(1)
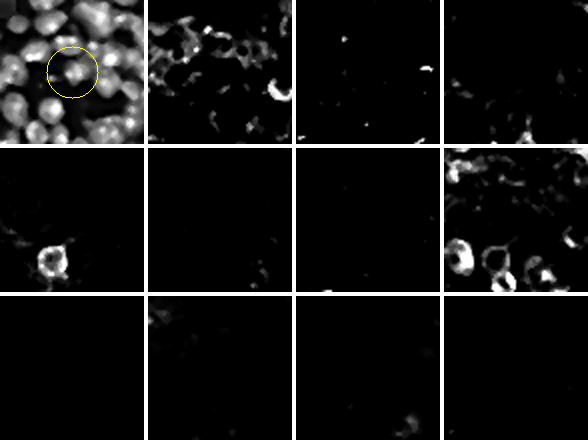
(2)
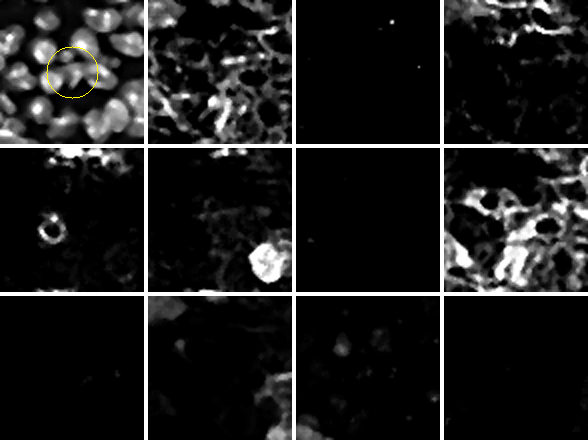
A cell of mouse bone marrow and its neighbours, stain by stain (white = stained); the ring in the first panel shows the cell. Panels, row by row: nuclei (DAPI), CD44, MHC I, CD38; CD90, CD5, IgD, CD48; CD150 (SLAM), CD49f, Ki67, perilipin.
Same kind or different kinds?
Different: the first is a neutrophil, the second a monocyte.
